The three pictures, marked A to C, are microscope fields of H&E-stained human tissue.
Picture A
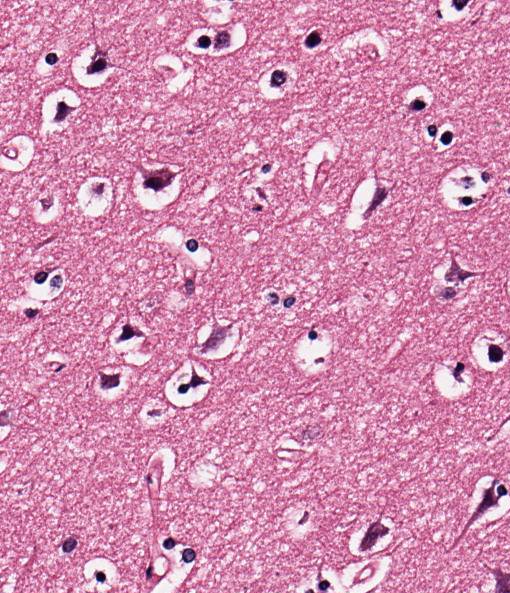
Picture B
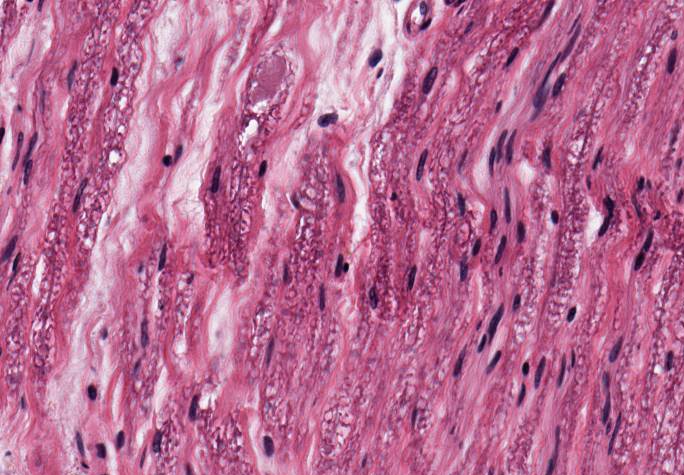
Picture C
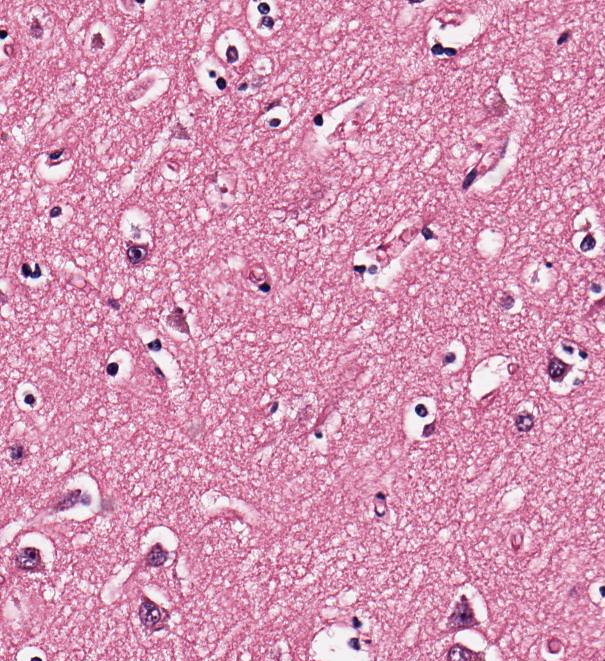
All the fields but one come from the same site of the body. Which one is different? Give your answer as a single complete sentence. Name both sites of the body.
The others come from the cerebral cortex, but picture B comes from the tibial nerve.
